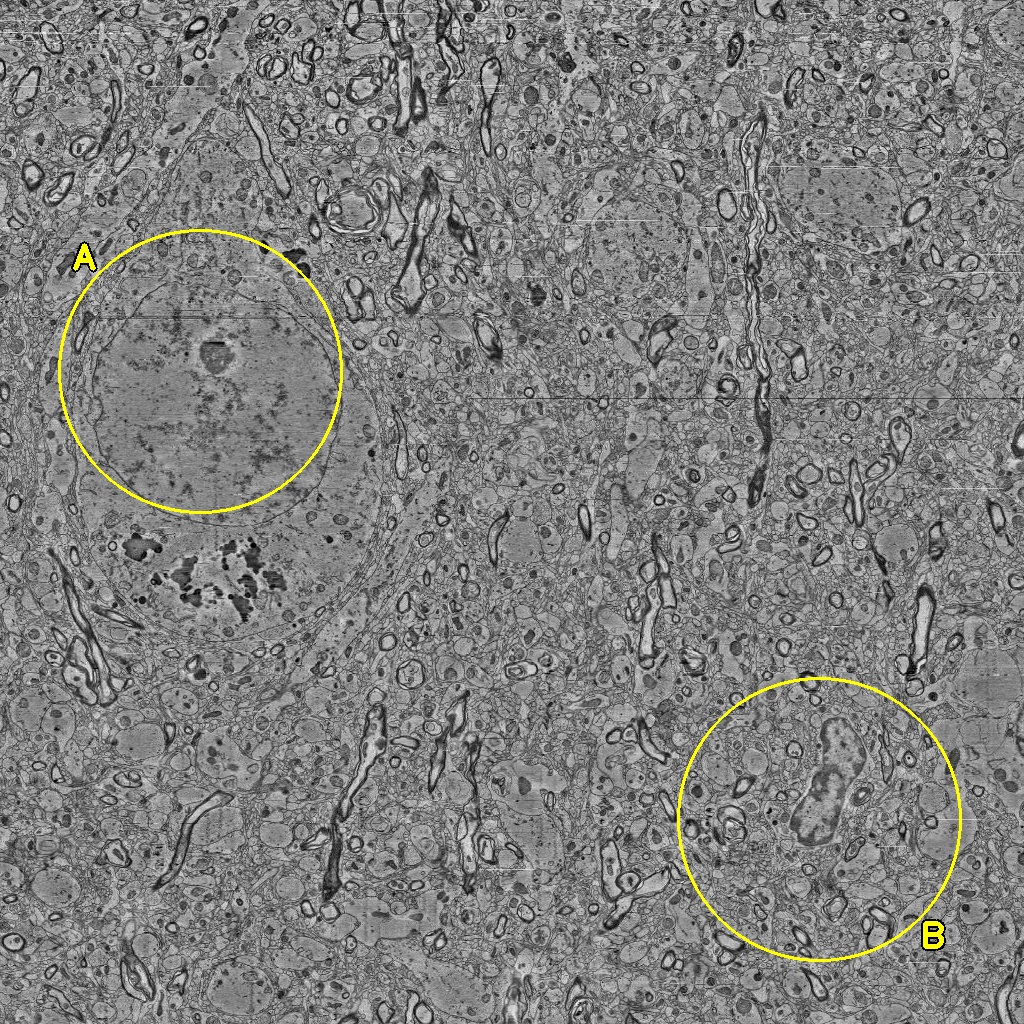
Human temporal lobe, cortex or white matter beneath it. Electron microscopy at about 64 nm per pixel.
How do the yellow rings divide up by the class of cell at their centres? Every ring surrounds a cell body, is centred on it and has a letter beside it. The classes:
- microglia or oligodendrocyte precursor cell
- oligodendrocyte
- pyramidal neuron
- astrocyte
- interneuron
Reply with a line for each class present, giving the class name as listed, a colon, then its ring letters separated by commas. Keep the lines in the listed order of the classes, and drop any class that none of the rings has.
microglia or oligodendrocyte precursor cell: B
pyramidal neuron: A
